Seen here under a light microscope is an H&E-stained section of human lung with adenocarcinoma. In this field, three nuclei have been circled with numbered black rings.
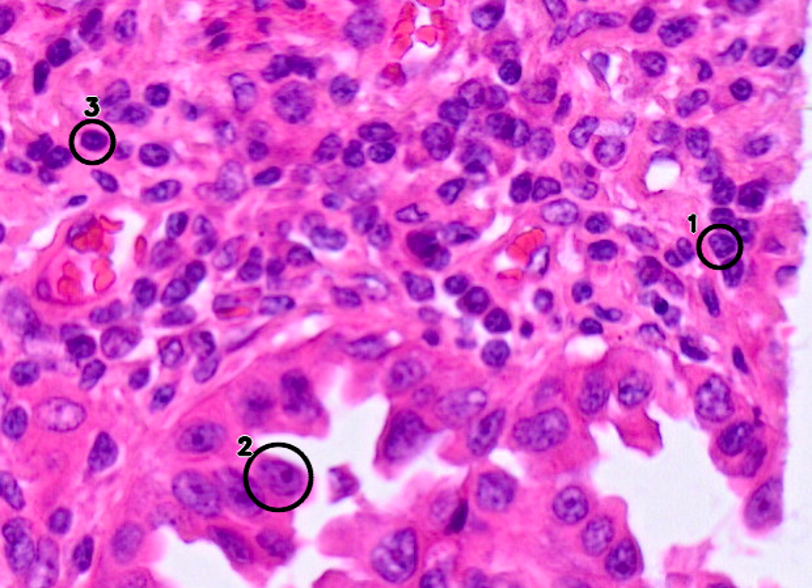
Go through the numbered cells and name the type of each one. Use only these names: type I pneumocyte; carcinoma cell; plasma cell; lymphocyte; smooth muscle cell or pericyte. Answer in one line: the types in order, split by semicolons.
lymphocyte; carcinoma cell; lymphocyte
